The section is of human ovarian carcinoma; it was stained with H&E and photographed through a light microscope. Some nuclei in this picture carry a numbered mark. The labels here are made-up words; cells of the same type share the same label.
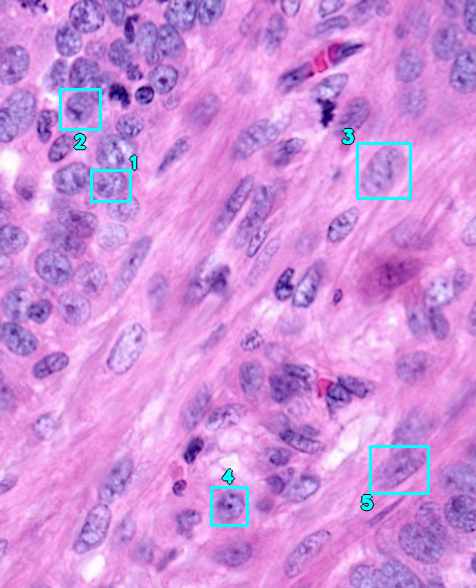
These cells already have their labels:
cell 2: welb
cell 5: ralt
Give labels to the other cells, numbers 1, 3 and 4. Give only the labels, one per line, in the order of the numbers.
welb
ralt
ralt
